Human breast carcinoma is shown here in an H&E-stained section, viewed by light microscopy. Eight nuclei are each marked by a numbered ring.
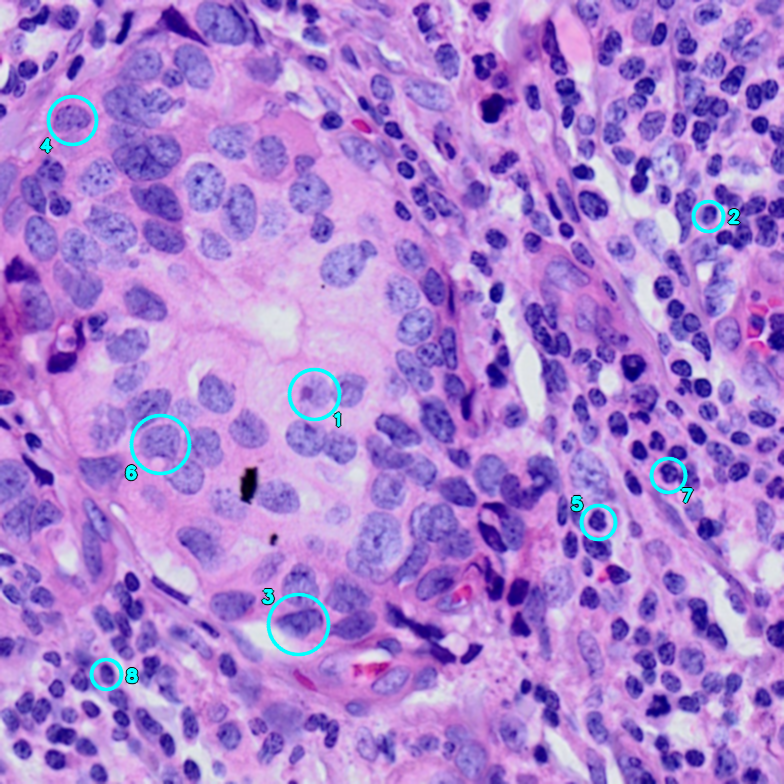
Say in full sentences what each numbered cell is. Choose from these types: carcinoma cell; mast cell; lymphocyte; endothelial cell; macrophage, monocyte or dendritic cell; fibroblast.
Cell 1 is a carcinoma cell, cell 2 is a lymphocyte, cell 3 is a carcinoma cell, cell 4 is a carcinoma cell, cell 5 is a lymphocyte, cell 6 is a carcinoma cell, cell 7 is a lymphocyte and cell 8 is a lymphocyte.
